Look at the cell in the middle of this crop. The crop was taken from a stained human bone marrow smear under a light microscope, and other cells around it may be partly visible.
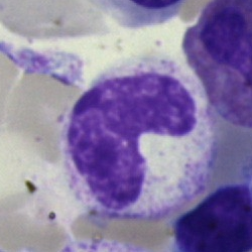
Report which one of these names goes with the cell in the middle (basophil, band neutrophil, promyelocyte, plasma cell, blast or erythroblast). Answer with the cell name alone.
band neutrophil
